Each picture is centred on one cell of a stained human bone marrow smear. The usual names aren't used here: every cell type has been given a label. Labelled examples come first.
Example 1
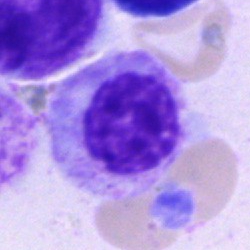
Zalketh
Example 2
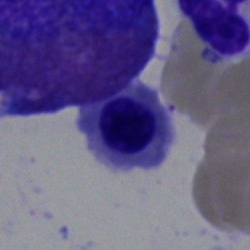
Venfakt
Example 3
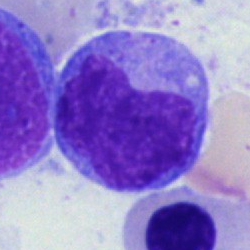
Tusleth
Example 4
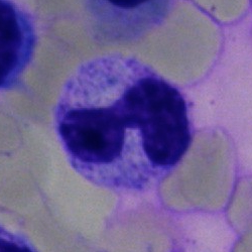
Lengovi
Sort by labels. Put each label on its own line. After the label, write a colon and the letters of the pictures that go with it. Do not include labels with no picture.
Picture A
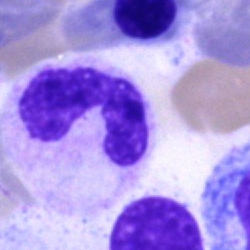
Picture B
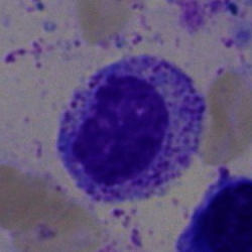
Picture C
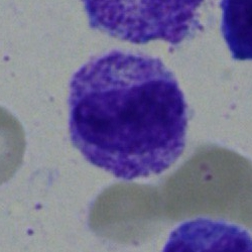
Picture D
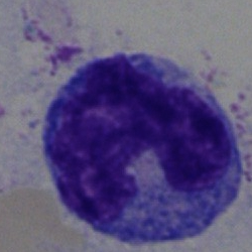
Zalketh: B, C
Tusleth: D
Lengovi: A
